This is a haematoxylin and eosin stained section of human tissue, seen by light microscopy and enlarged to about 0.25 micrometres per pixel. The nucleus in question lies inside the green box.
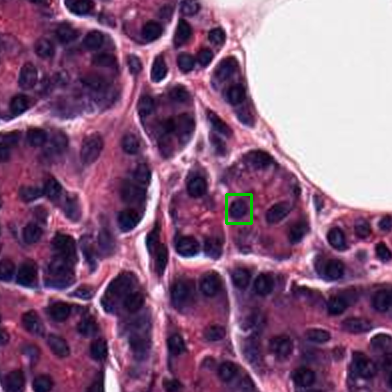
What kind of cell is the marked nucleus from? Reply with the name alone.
pancreatic acinar cell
